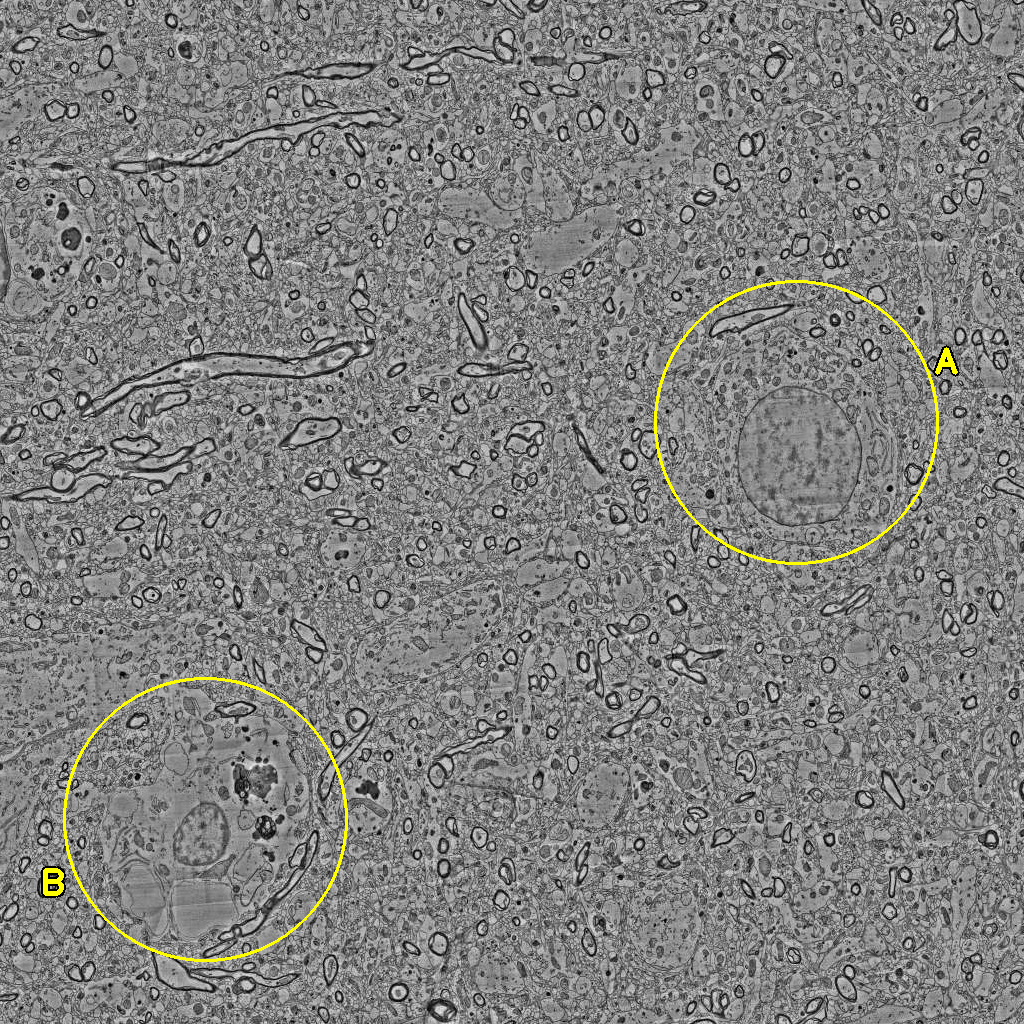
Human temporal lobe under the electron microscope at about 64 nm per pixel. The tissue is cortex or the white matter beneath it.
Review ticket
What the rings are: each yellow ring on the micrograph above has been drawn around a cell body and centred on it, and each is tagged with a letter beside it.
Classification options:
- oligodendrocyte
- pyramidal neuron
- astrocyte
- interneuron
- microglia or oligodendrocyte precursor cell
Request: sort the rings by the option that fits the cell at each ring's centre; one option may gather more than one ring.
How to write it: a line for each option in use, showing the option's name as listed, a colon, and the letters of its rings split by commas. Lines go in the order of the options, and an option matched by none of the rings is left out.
astrocyte: B
interneuron: A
